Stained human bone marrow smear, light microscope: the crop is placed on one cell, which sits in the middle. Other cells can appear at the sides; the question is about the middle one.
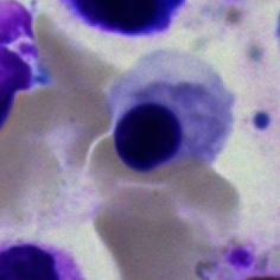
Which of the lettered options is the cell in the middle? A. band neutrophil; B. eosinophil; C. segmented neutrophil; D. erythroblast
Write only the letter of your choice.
D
